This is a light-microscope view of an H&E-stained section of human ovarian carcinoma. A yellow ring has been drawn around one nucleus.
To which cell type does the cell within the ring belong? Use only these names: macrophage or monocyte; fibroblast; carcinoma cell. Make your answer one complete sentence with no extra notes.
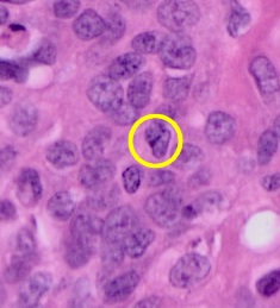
The correct response here is that the cell within the ring is a macrophage or monocyte.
